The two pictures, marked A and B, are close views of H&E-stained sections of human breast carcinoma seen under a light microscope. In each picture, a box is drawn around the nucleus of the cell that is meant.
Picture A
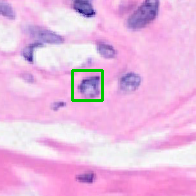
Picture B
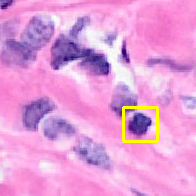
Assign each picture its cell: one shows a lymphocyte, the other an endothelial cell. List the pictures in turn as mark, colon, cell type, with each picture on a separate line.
A: endothelial cell
B: lymphocyte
